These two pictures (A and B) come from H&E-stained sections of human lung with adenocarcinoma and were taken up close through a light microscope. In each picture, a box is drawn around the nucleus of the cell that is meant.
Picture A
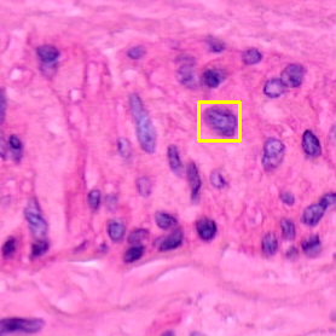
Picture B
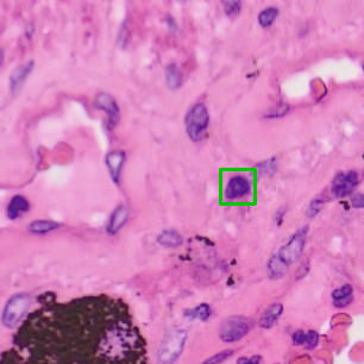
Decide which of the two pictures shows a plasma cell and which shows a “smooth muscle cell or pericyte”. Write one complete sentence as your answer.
Picture A shows a “smooth muscle cell or pericyte” and picture B shows a plasma cell.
